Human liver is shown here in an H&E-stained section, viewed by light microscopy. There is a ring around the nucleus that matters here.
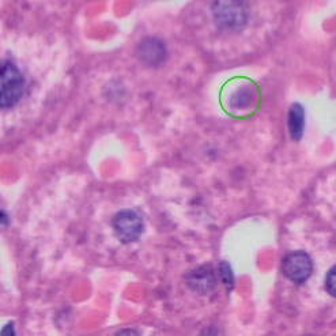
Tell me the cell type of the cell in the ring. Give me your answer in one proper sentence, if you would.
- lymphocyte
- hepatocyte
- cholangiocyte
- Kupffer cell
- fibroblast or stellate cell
It is as a Kupffer cell that the cell in the ring is recorded.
